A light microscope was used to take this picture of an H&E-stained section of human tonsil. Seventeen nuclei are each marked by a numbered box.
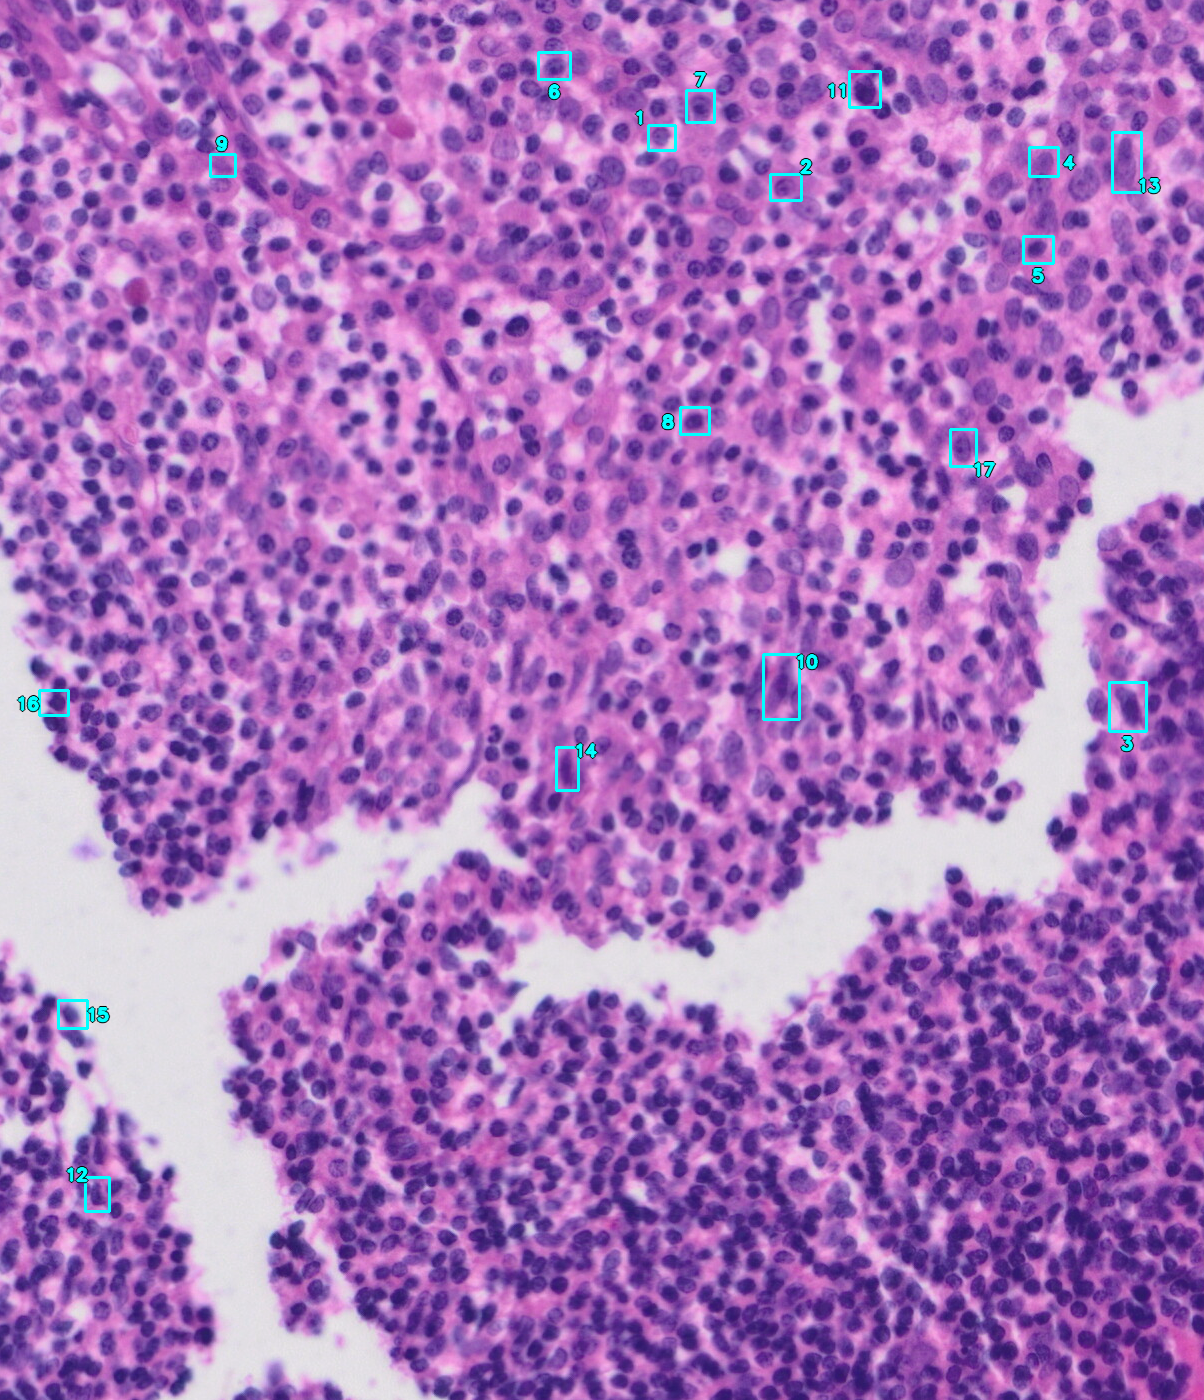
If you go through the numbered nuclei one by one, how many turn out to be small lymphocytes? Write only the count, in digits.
3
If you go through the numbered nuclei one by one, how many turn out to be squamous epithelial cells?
9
